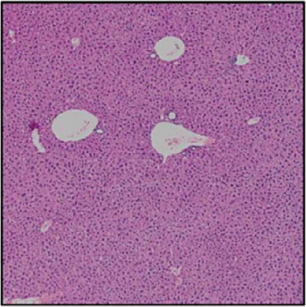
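This is liver tissue at low magnification, with the cells packed into a continuous pink parenchyma dotted evenly with small dark-blue nuclei. Scattered through it are several empty, rounded to branching vessel lumens, some holding a little pink blood.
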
